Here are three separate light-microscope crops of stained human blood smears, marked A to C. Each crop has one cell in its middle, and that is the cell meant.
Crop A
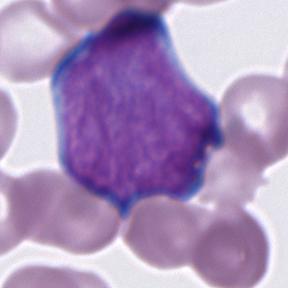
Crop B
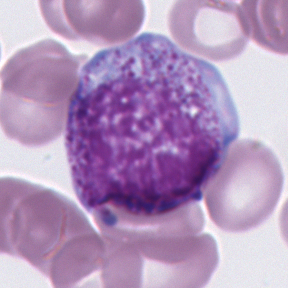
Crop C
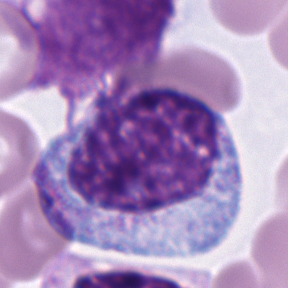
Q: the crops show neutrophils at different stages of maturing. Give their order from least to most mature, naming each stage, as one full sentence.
Proceeding from least to most mature, the order is crop A (a blast), crop C (a promyelocyte) and crop B (a myelocyte).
